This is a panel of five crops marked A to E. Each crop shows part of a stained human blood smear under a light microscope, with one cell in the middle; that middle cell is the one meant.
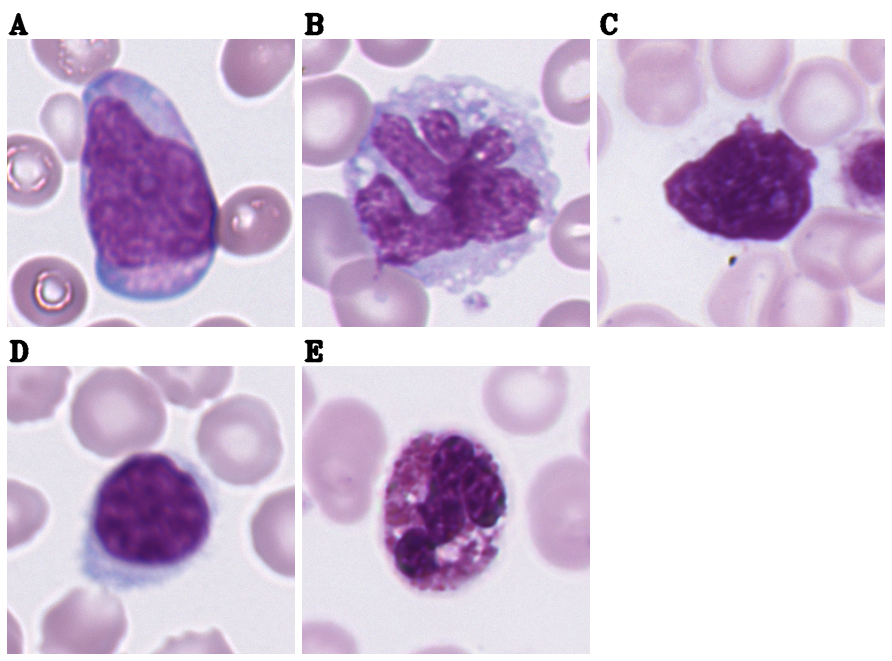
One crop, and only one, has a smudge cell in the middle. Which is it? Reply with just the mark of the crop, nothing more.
C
